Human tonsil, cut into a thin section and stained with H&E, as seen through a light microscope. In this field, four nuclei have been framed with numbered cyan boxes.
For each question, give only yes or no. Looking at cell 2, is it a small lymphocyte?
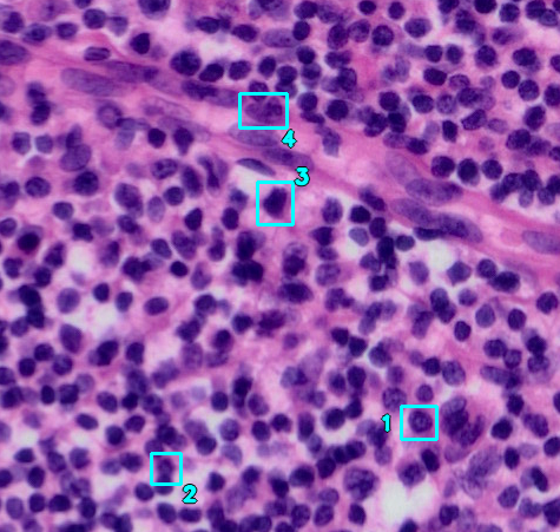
yes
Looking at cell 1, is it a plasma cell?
yes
